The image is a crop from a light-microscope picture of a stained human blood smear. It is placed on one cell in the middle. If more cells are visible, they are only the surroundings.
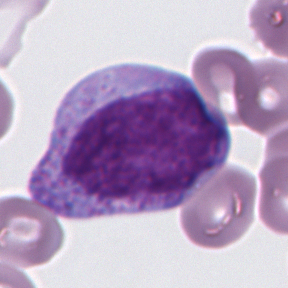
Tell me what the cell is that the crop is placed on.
atypical promyelocyte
